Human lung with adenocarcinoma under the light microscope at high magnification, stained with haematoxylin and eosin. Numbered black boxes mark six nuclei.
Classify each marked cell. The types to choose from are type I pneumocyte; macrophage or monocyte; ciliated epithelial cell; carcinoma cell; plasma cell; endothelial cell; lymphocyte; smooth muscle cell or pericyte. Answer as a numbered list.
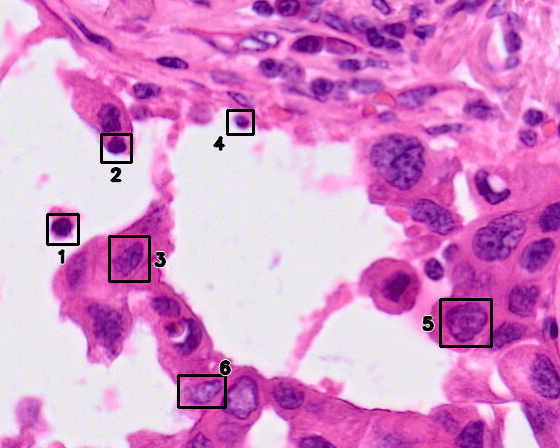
1. lymphocyte
2. lymphocyte
3. carcinoma cell
4. lymphocyte
5. carcinoma cell
6. carcinoma cell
